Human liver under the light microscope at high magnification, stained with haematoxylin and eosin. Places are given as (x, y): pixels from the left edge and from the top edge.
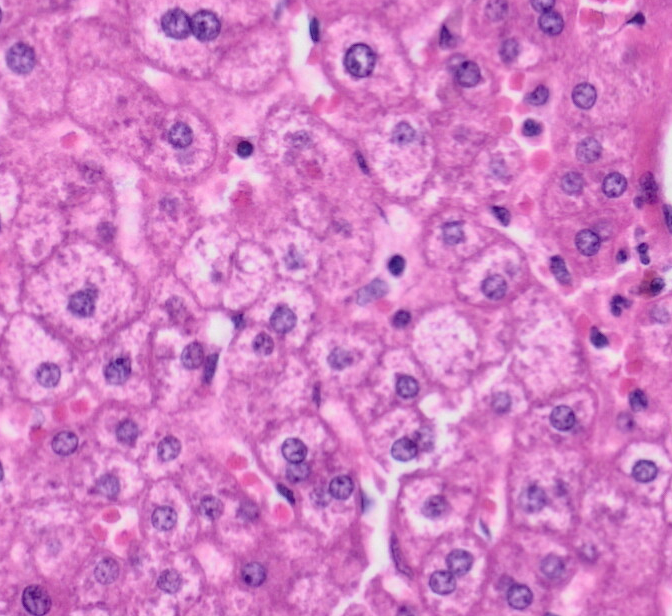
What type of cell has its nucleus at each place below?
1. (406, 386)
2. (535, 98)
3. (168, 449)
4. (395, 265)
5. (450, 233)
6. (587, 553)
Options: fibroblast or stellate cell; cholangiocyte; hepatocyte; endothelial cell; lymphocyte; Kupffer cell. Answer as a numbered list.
1. hepatocyte
2. Kupffer cell
3. hepatocyte
4. lymphocyte
5. hepatocyte
6. hepatocyte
